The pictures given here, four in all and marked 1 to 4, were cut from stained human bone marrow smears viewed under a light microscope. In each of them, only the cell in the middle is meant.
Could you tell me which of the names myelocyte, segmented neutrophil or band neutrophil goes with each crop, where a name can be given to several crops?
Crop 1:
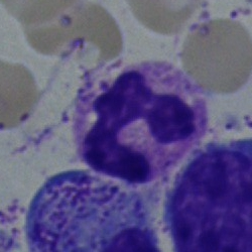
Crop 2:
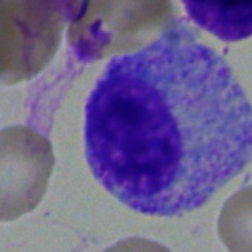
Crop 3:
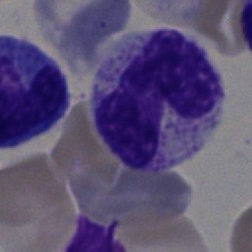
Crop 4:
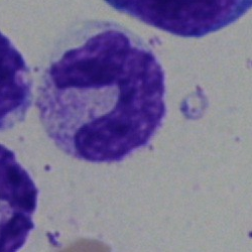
1: segmented neutrophil
2: myelocyte
3: band neutrophil
4: band neutrophil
